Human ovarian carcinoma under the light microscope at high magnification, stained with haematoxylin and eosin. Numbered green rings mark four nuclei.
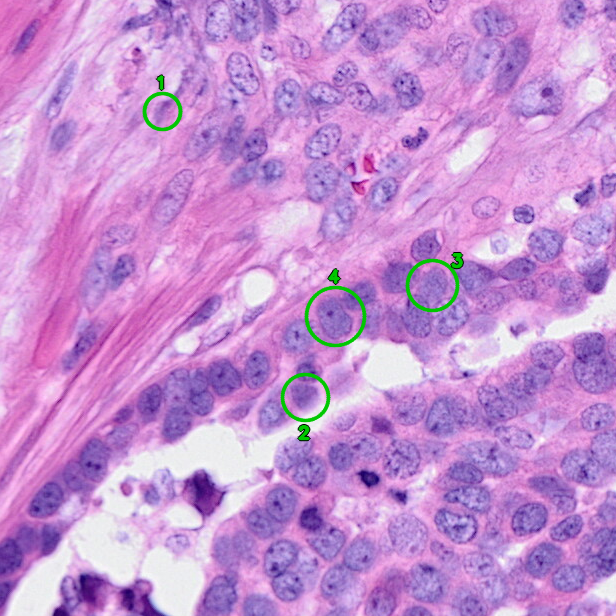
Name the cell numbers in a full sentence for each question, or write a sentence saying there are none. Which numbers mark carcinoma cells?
The cells marked by the numbers 2, 3 and 4 are carcinoma cells.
